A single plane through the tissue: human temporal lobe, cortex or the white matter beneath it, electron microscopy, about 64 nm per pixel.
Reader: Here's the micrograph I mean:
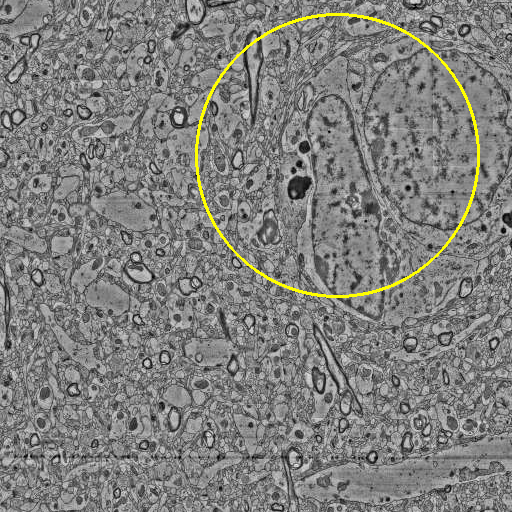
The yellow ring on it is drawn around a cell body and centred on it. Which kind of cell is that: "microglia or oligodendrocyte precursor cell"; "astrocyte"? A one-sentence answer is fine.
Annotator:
The ring is centred on a microglial cell or oligodendrocyte precursor cell.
